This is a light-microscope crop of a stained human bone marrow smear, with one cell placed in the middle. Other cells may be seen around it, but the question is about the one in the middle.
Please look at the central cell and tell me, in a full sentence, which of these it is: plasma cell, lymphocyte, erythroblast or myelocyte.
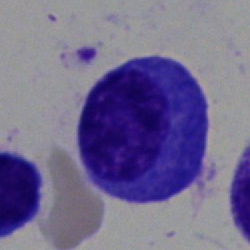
As for the cell in the middle, it is a plasma cell.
